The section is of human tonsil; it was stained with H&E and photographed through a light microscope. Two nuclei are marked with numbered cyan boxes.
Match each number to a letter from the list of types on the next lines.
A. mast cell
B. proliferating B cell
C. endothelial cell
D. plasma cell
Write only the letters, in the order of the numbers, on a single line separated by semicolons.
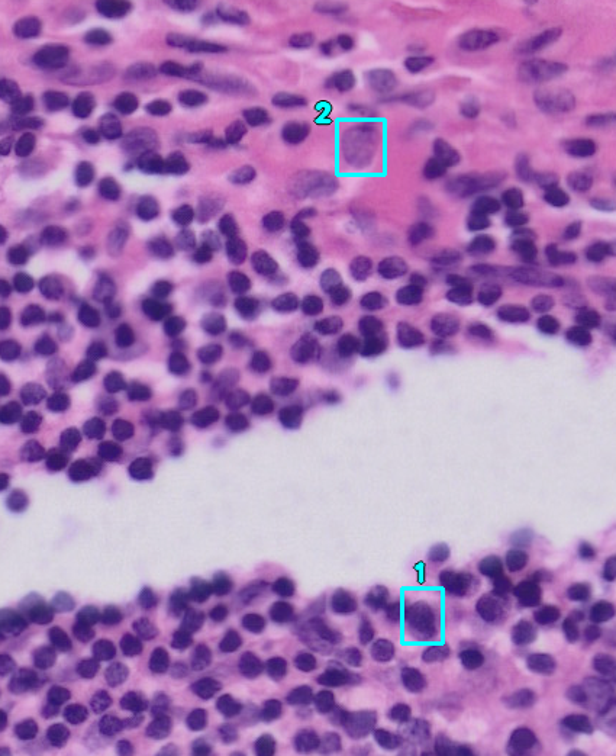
B; C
